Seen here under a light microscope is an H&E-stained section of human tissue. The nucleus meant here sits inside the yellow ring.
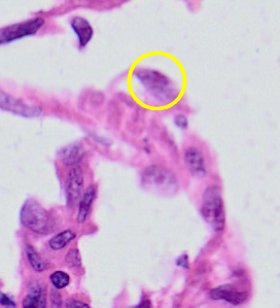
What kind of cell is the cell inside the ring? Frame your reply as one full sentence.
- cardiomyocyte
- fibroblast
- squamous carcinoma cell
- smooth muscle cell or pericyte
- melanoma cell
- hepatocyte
In this tissue section, the cell inside the ring is to be classed as a melanoma cell.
